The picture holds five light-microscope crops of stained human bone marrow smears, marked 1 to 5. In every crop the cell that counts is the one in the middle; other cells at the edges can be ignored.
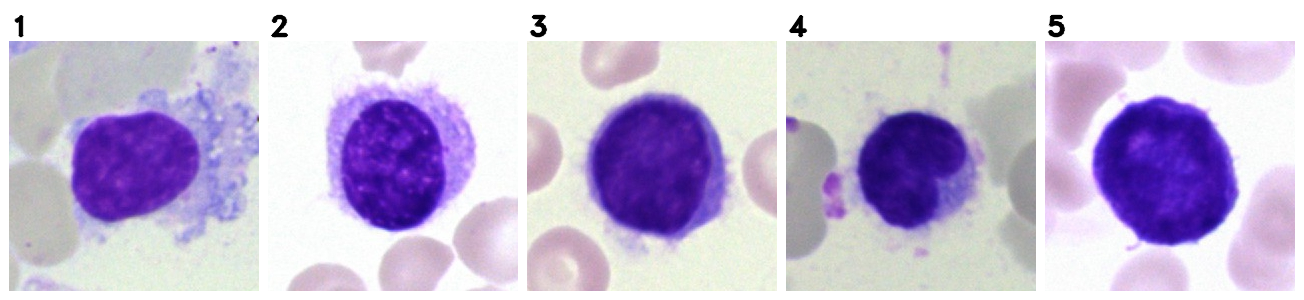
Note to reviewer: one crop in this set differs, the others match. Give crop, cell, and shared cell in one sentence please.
The central cell of crop 5 is a blast, while the other crops show hairy cells.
